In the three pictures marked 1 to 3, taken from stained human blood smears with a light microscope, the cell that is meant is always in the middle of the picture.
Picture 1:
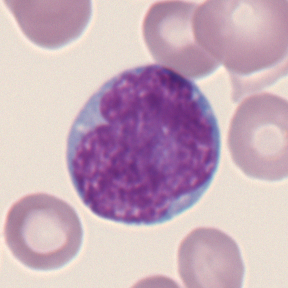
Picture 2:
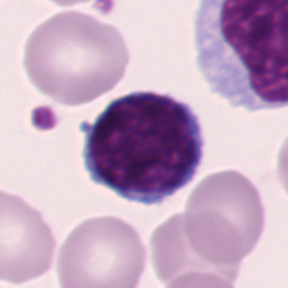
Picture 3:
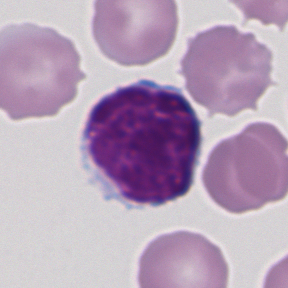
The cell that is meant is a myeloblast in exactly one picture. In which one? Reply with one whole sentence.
The myeloblast is the one in picture 1.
